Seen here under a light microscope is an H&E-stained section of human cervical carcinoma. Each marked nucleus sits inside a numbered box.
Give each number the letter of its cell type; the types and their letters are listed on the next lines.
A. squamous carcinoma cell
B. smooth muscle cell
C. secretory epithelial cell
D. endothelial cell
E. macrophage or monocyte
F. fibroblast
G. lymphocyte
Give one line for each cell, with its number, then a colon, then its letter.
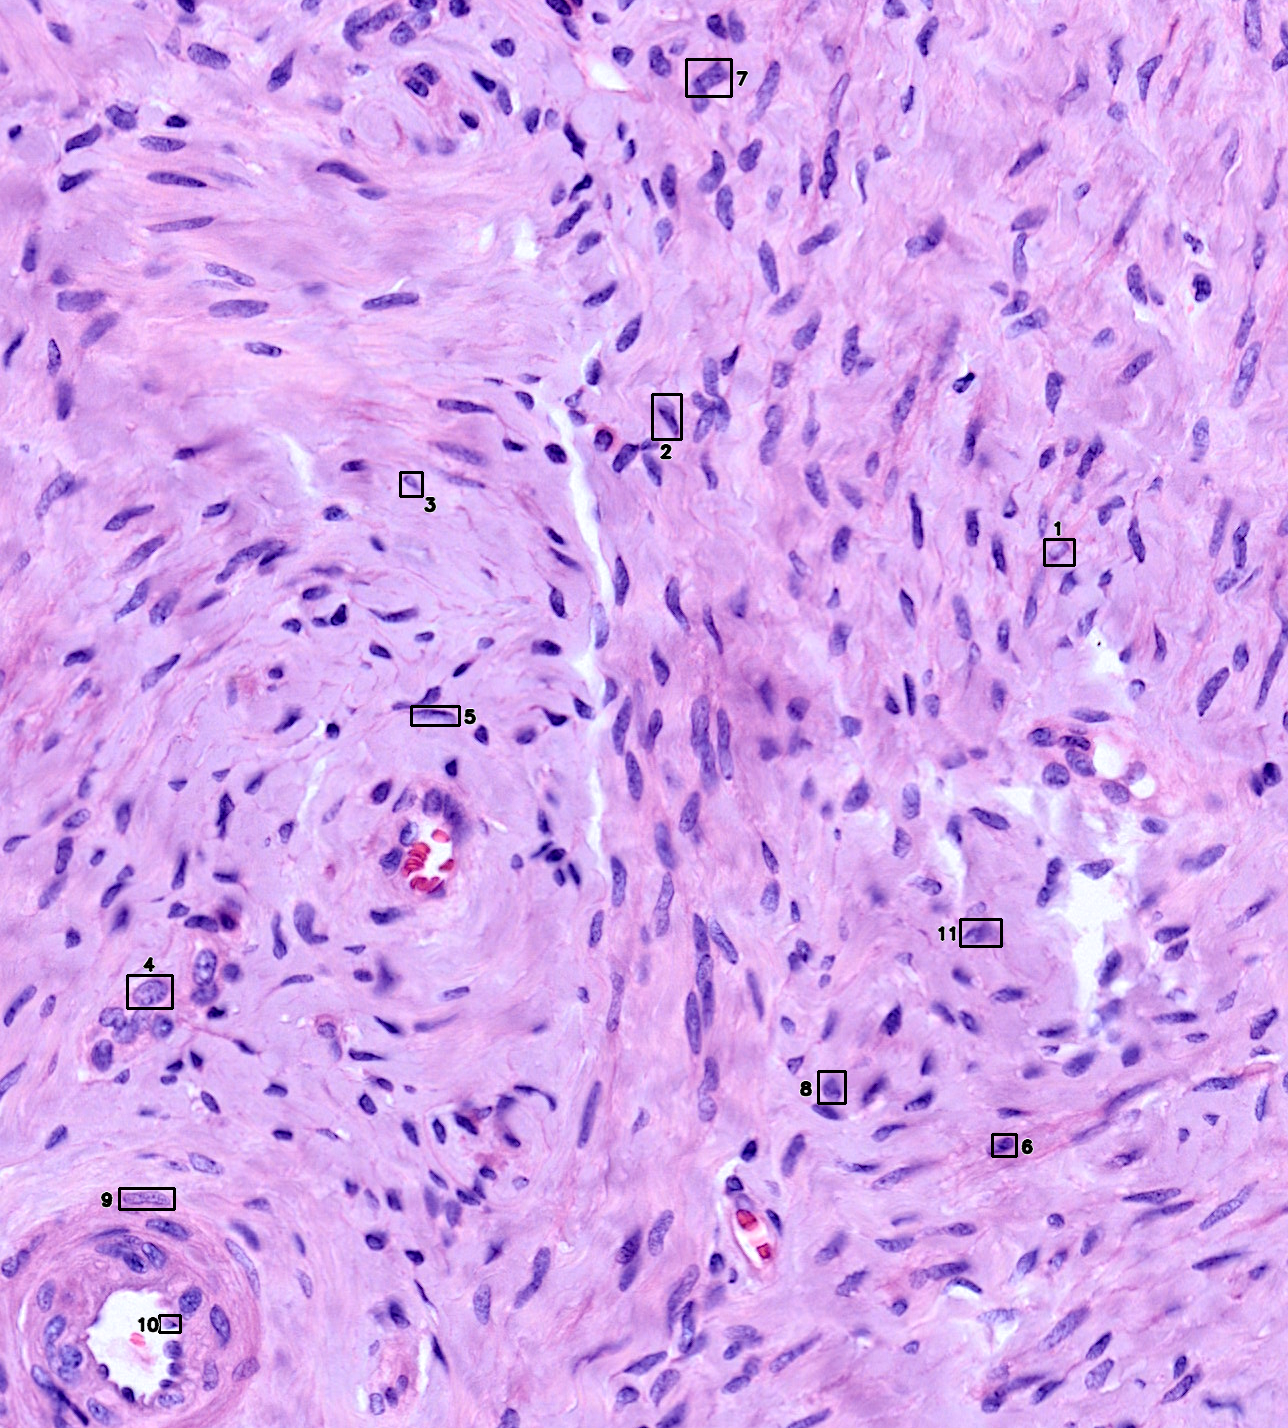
1: B
2: F
3: F
4: D
5: F
6: B
7: F
8: F
9: B
10: D
11: F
